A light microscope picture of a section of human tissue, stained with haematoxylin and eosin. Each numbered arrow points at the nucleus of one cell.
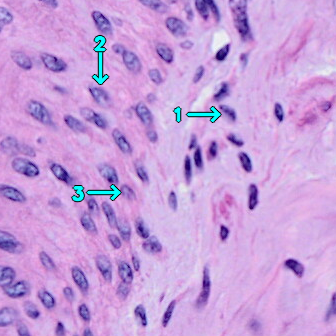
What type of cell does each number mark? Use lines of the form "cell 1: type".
cell 1: fibroblast
cell 2: smooth muscle cell
cell 3: smooth muscle cell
